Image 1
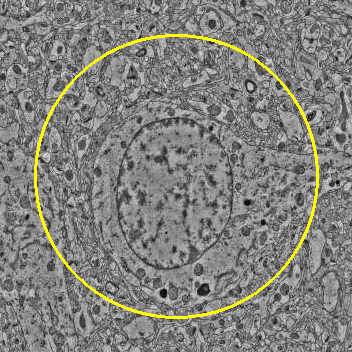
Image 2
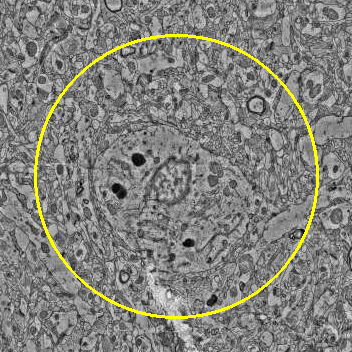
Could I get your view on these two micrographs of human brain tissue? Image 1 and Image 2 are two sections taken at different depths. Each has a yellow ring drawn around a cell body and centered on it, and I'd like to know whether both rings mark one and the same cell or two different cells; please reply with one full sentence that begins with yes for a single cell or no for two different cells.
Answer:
Yes, the second ring marks the same cell as the first.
